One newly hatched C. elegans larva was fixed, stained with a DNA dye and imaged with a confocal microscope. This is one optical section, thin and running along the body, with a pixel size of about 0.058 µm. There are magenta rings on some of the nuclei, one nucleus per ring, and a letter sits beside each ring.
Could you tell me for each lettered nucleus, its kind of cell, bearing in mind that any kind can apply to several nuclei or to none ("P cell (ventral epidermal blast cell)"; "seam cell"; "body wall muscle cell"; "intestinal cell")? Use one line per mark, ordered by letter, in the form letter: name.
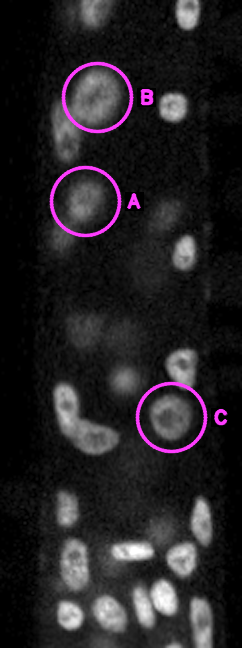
A: P cell (ventral epidermal blast cell)
B: seam cell
C: intestinal cell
